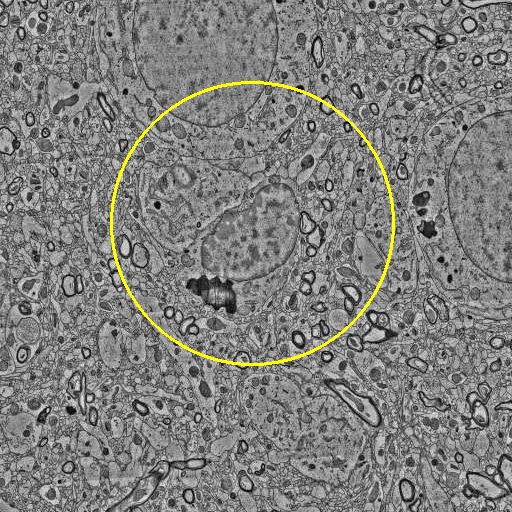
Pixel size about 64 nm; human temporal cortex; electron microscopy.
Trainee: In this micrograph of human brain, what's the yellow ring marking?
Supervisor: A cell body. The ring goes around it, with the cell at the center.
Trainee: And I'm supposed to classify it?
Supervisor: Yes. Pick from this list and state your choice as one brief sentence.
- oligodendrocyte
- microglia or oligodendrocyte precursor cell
The cell at the ring's center is an oligodendrocyte.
